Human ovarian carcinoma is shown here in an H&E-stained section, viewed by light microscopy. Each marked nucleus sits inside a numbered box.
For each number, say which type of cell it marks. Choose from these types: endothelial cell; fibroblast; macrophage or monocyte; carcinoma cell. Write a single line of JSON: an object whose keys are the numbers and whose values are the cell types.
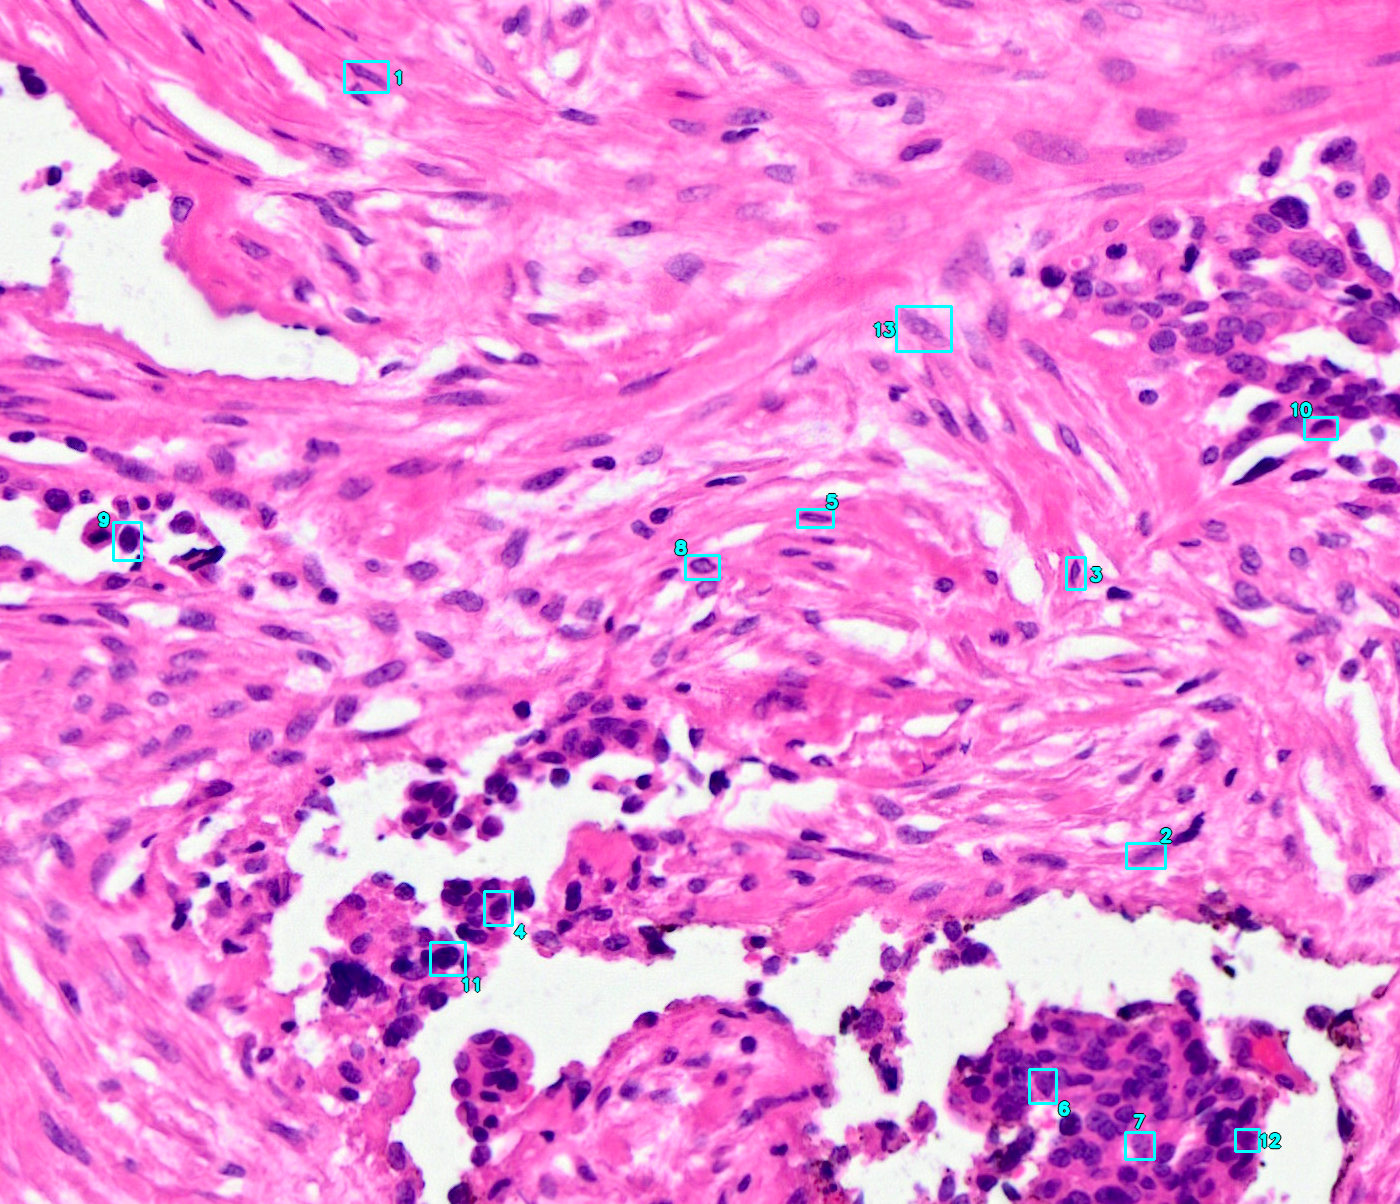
{"1": "fibroblast", "2": "fibroblast", "3": "fibroblast", "4": "carcinoma cell", "5": "fibroblast", "6": "carcinoma cell", "7": "carcinoma cell", "8": "fibroblast", "9": "carcinoma cell", "10": "carcinoma cell", "11": "carcinoma cell", "12": "carcinoma cell", "13": "fibroblast"}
